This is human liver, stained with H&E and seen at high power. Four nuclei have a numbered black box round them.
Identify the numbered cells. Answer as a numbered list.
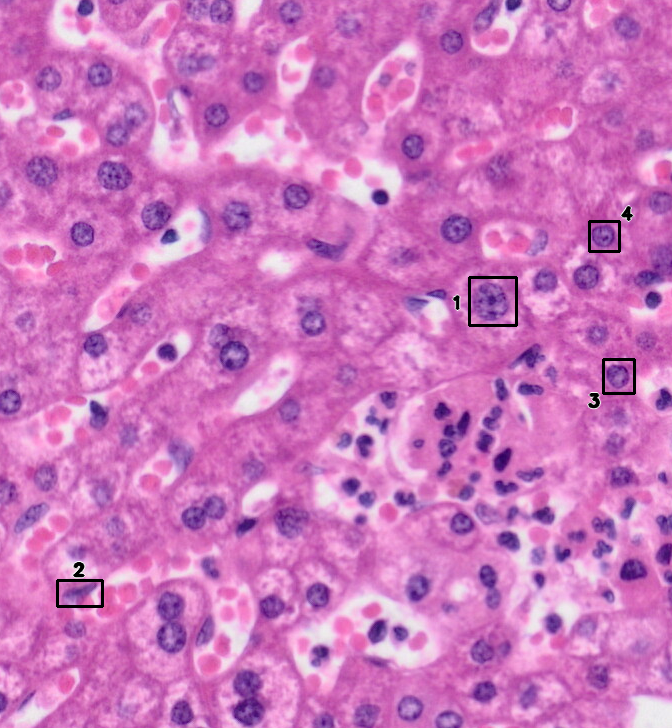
1. hepatocyte
2. endothelial cell
3. hepatocyte
4. hepatocyte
